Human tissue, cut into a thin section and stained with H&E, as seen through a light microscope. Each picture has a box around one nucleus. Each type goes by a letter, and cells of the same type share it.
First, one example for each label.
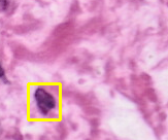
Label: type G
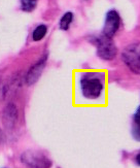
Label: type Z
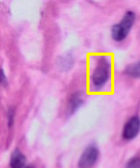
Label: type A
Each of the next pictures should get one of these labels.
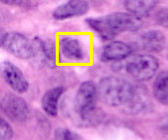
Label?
type G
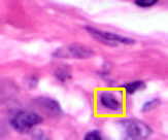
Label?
type G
